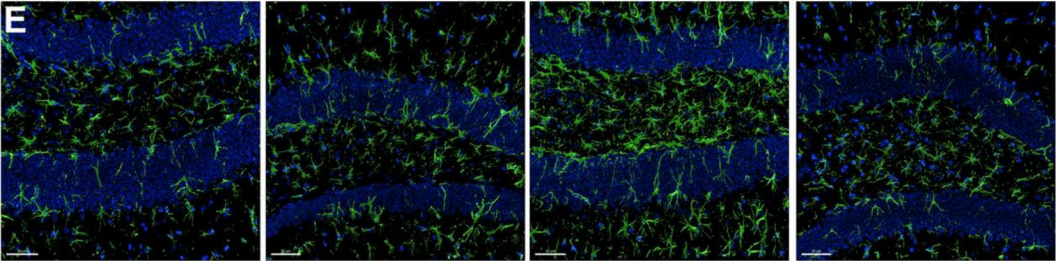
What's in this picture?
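Four side-by-side fields of hippocampus show star-shaped astrocytes in green around curved bands of densely packed blue nuclei of the granule cell layer. The astrocytes send long, thin, branching processes that radiate through the surrounding tissue and cross into the nuclear band. In the third field the green processes look denser and thicker than in the others.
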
